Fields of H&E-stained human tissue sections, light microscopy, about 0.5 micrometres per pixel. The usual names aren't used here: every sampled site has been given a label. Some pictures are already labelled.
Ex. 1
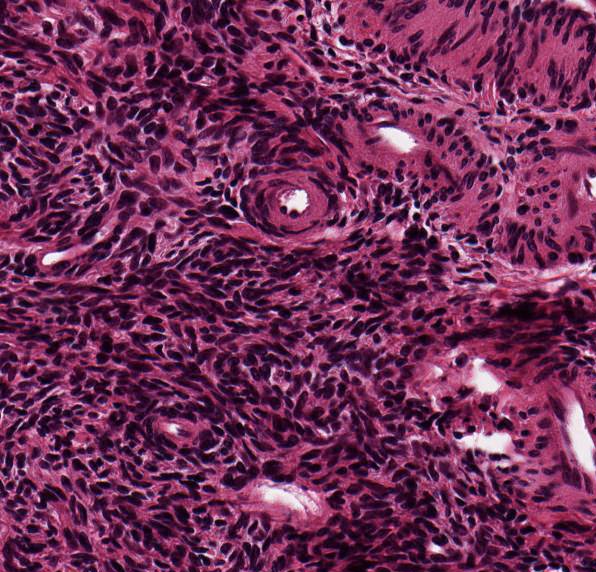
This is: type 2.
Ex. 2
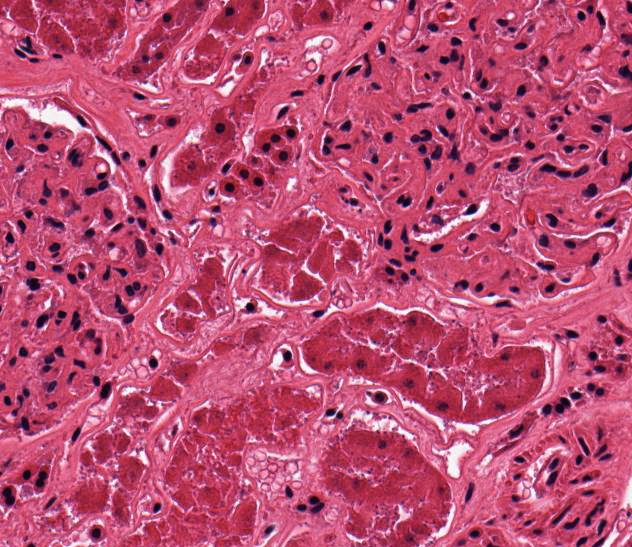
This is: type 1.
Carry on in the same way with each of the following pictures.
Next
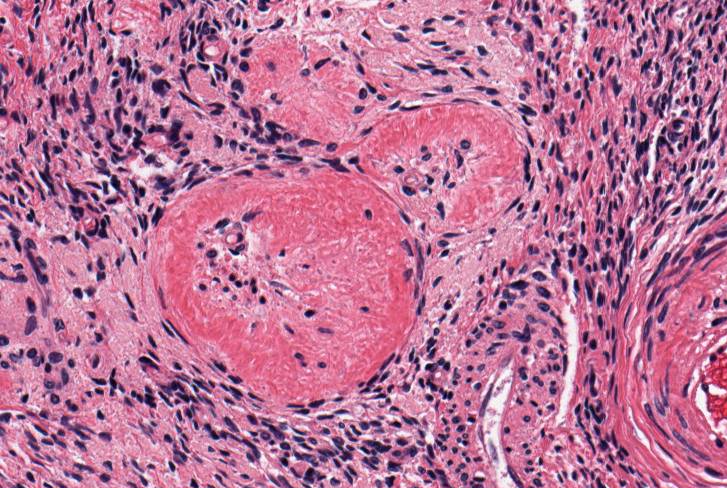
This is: type 2.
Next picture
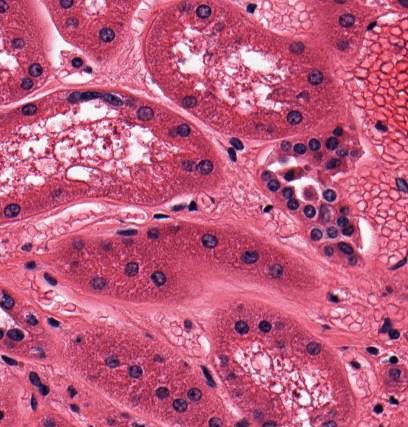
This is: type 1.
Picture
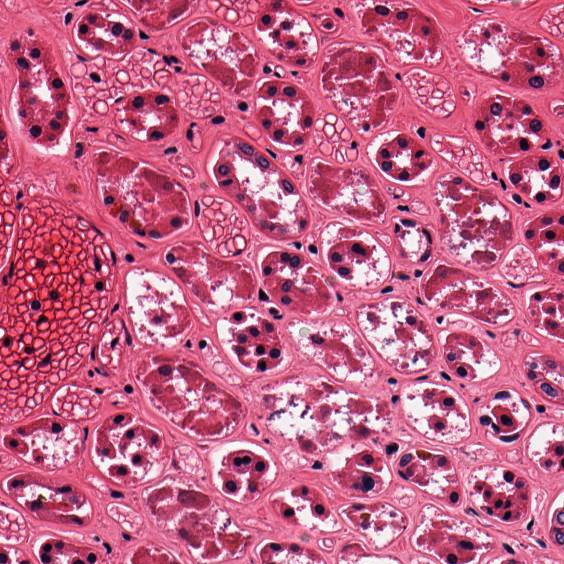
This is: type 1.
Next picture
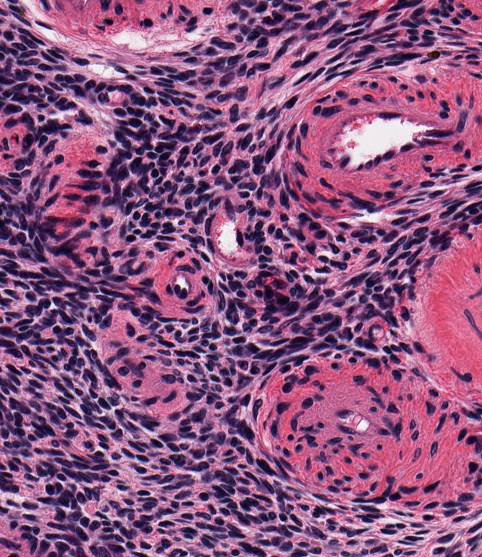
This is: type 2.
